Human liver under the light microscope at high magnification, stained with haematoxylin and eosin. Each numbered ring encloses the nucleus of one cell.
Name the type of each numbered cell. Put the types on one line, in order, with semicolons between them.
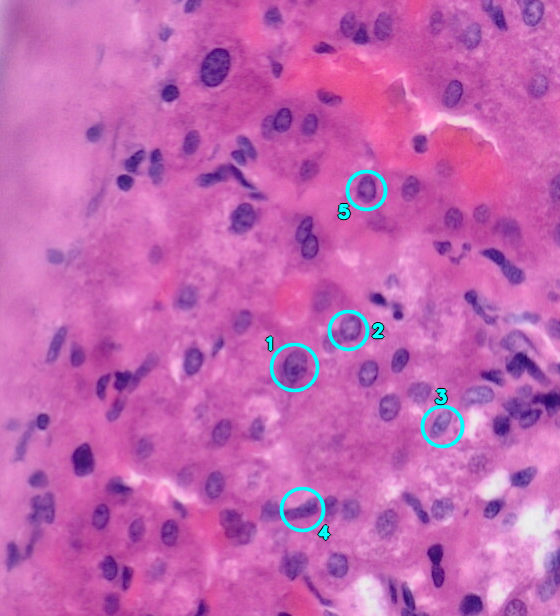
hepatocyte; hepatocyte; cholangiocyte; fibroblast or stellate cell; hepatocyte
